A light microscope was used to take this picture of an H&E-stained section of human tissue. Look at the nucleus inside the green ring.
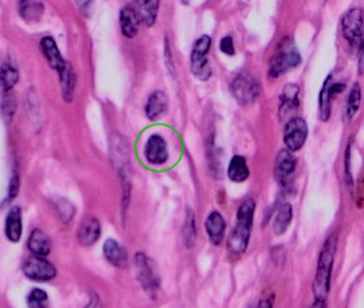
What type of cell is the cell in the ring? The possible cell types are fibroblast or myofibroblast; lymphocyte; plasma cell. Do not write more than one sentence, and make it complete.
As a matter of cell type, the cell in the ring is a lymphocyte.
